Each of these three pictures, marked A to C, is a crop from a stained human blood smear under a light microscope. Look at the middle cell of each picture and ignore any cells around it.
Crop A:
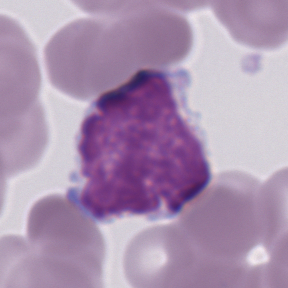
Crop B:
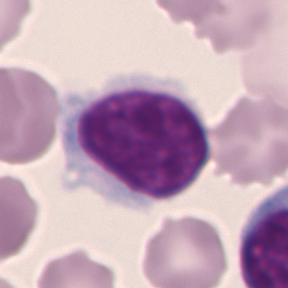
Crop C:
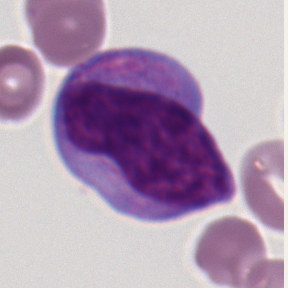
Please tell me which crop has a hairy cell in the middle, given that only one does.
B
